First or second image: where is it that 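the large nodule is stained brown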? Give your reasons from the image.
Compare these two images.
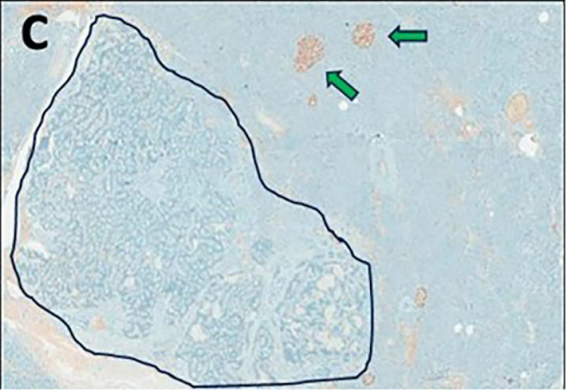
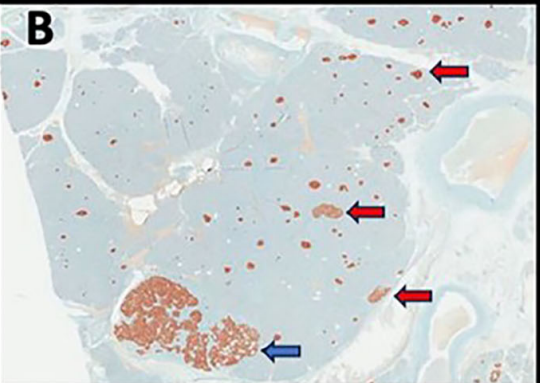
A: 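First image: the large outlined nodule is blue only, with no brown stain. Second image: the large oval nodule is brown throughout. That points to this answer: the second image.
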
